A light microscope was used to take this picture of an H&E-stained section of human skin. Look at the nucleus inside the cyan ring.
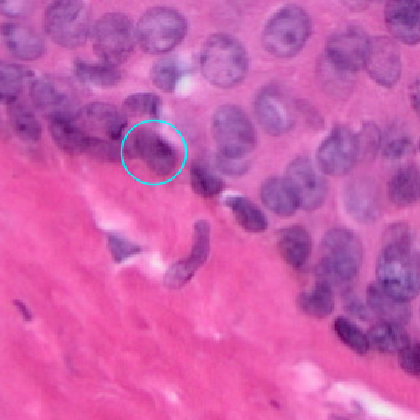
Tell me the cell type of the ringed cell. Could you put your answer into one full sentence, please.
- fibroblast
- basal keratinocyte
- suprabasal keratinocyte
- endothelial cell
Students should answer that the ringed cell is a basal keratinocyte.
